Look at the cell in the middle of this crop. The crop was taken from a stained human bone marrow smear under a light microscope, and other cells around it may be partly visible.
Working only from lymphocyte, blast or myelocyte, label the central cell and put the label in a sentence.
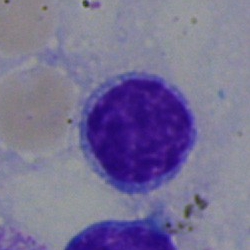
Within this crop, a lymphocyte occupies the central position.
